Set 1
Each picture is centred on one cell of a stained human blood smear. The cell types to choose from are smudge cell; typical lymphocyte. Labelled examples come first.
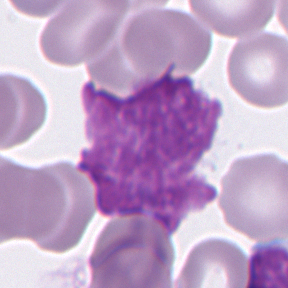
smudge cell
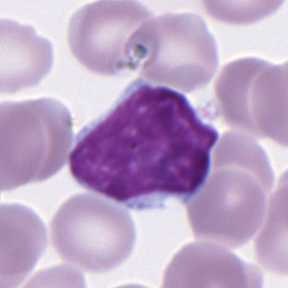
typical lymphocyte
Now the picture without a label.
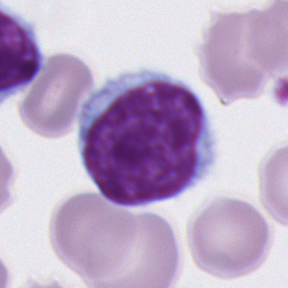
typical lymphocyte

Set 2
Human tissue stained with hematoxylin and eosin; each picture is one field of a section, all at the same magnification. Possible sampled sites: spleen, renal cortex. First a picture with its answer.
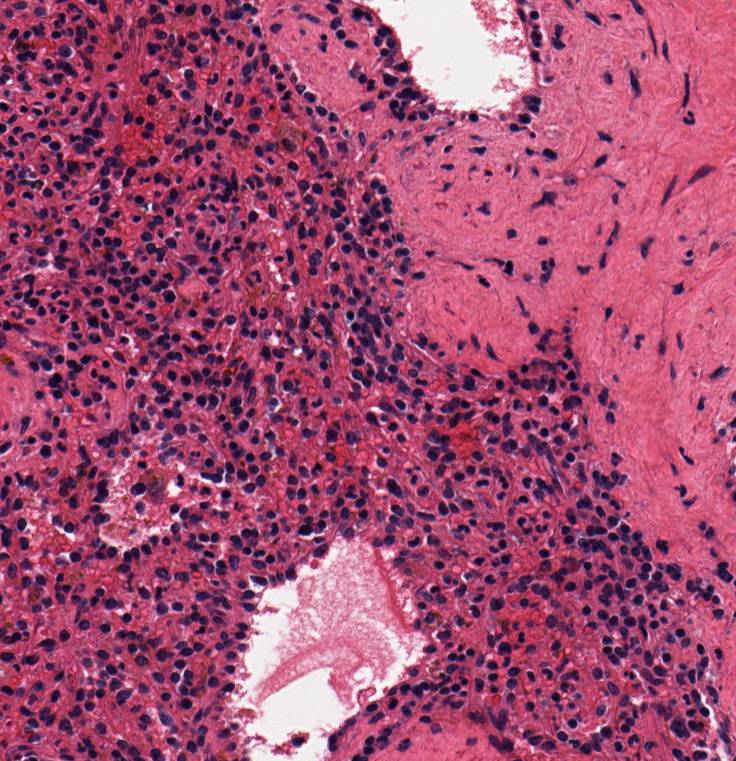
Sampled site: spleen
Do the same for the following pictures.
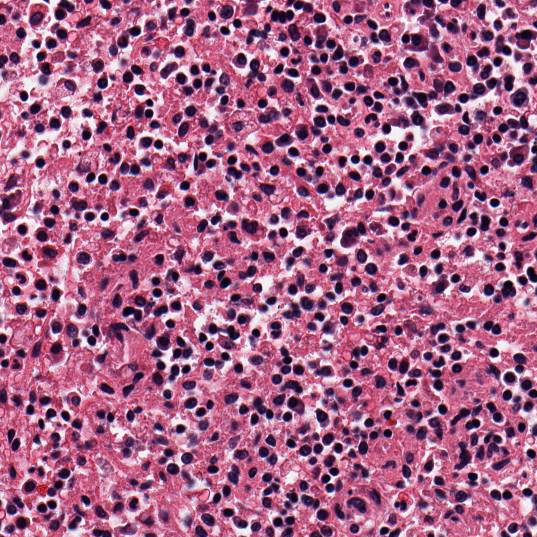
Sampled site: spleen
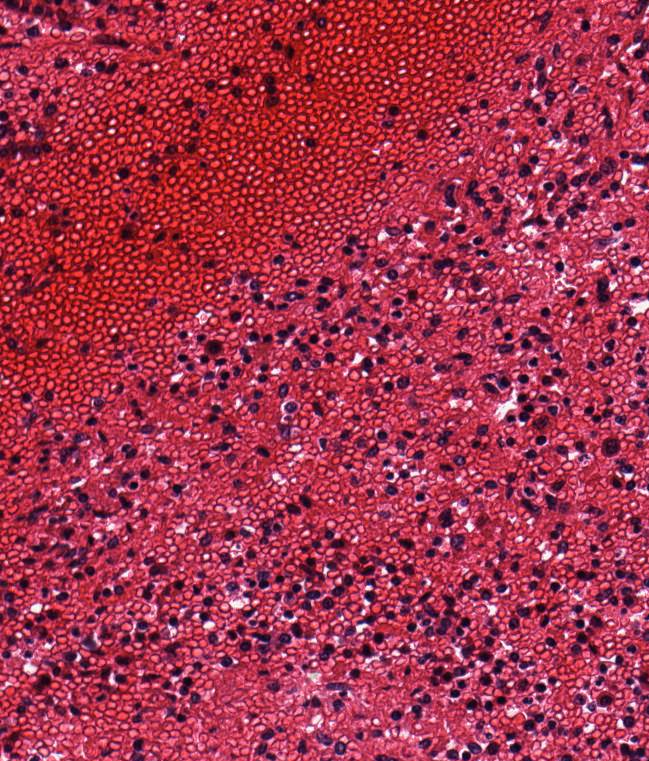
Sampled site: spleen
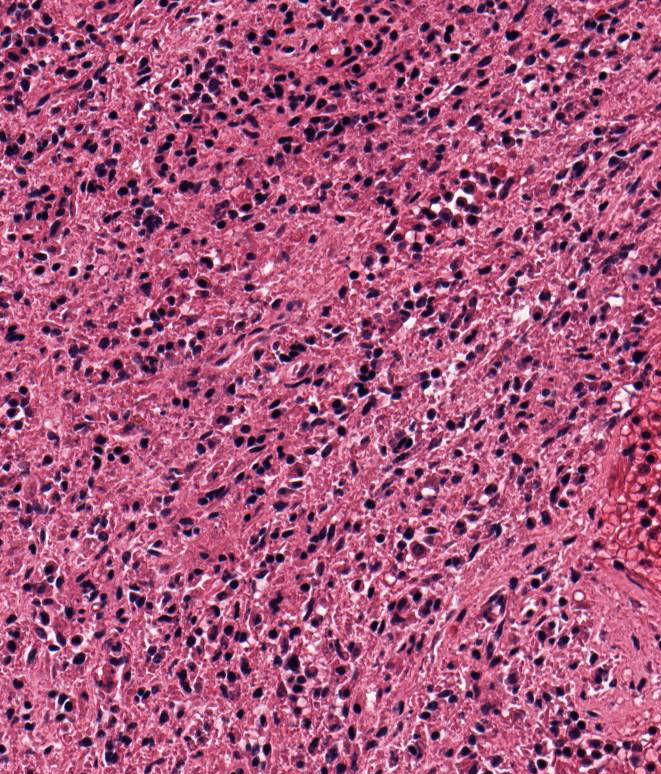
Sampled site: spleen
